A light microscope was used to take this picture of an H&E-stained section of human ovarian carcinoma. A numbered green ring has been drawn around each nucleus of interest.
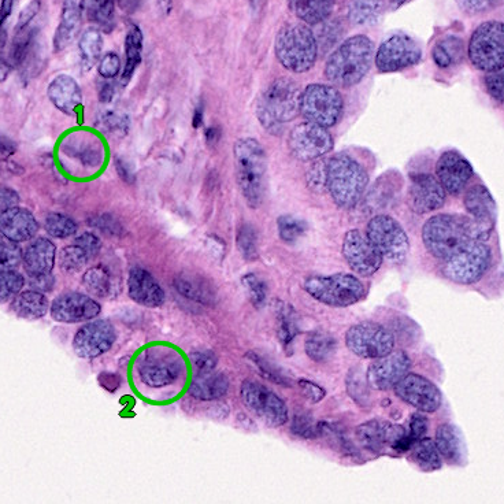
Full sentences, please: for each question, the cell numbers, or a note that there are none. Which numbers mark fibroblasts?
Only one choice fits: cell 1 is a fibroblast, and no other.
